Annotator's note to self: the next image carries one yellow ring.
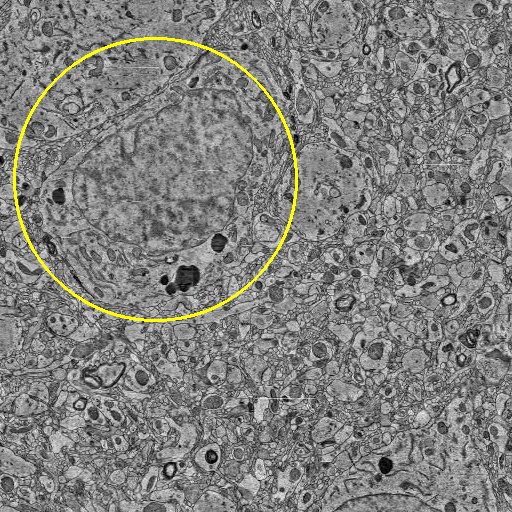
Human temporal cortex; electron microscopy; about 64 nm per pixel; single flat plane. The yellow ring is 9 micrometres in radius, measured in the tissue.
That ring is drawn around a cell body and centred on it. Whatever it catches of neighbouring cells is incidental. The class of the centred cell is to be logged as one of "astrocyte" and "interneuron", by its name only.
interneuron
